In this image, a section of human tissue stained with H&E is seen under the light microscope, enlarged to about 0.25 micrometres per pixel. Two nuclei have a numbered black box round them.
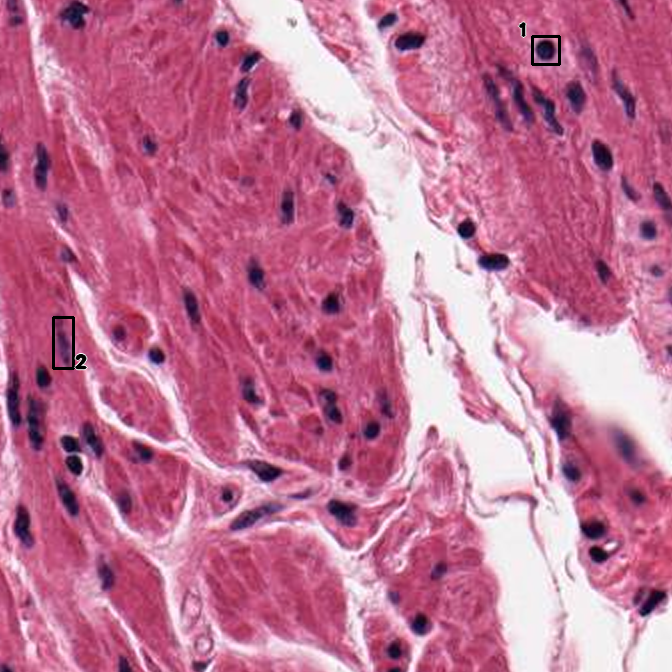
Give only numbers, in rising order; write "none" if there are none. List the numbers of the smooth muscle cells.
2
